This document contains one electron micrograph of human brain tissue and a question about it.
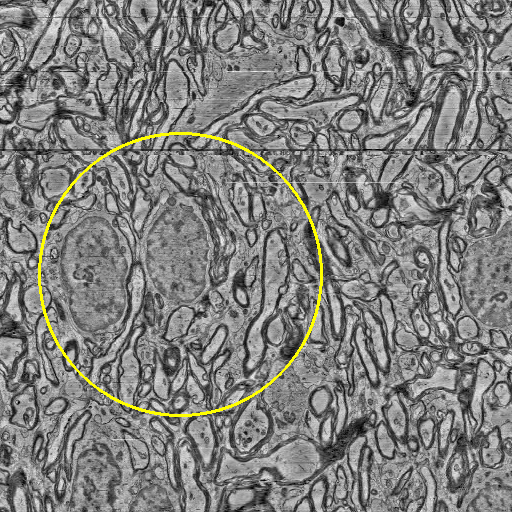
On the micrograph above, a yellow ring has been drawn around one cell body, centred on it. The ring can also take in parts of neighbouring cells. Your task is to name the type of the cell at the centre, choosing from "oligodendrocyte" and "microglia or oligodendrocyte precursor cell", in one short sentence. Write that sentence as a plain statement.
Here the ring is centred on an oligodendrocyte.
